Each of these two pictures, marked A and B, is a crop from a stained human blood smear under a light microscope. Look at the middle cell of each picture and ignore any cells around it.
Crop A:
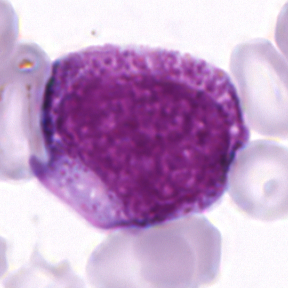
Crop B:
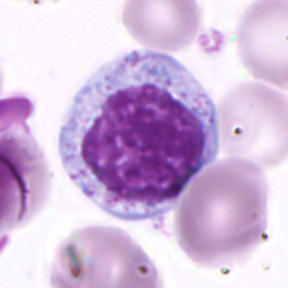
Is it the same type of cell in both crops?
no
